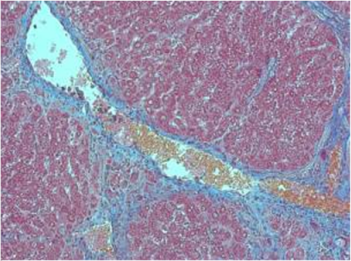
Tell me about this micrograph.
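This is liver tissue in which broad blue-stained fibrous bands cut through the red-staining parenchyma. Thick blue fibres line these vessels and extend outward as septa that separate the liver cells into rounded islands. Within the islands the liver cells are polygonal, with red cytoplasm, packed in sheets and cords. Thinner blue strands also reach into the parenchyma between the islands.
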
